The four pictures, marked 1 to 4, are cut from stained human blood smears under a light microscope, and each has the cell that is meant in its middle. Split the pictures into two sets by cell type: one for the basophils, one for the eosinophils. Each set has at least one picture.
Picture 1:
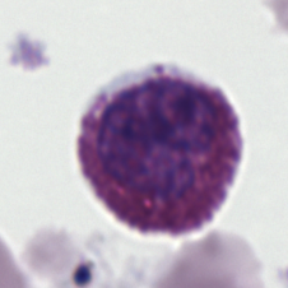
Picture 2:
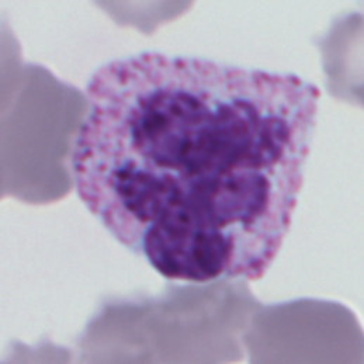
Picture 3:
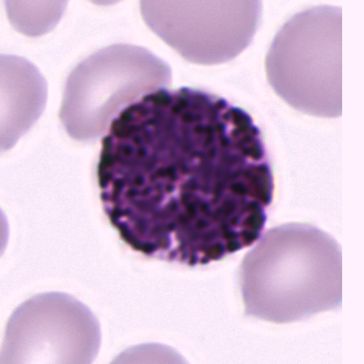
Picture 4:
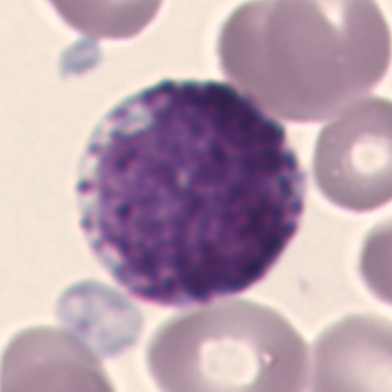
1: eosinophil
2: basophil
3: basophil
4: basophil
